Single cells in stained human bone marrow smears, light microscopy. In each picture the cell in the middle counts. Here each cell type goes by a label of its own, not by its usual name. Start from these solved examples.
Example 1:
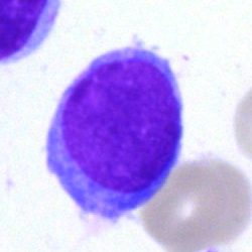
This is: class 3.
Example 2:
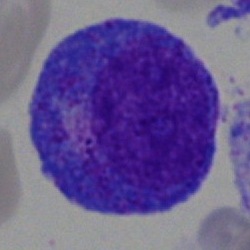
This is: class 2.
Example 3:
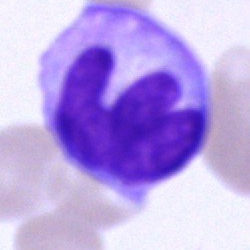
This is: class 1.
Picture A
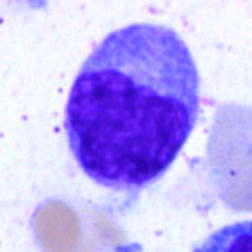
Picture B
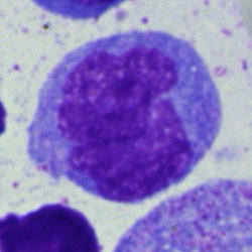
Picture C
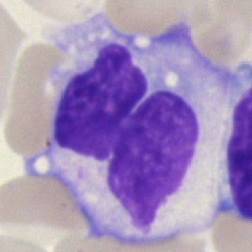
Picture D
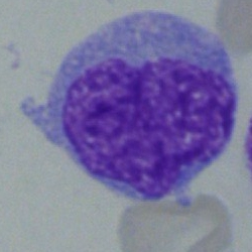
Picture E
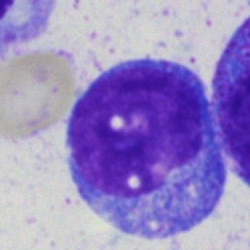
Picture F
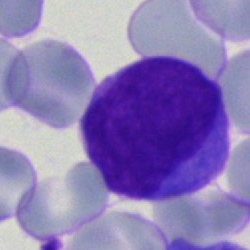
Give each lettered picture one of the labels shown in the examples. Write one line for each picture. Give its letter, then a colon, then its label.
A: class 1.
B: class 1.
C: class 1.
D: class 3.
E: class 3.
F: class 3.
